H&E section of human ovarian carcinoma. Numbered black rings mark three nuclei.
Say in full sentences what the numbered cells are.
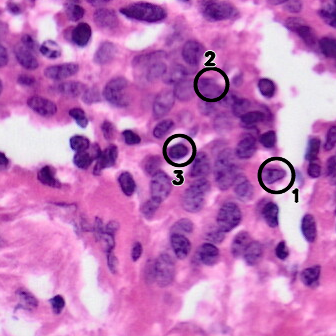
Cell 1 is a macrophage or monocyte. Cells 2 and 3 are carcinoma cells.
